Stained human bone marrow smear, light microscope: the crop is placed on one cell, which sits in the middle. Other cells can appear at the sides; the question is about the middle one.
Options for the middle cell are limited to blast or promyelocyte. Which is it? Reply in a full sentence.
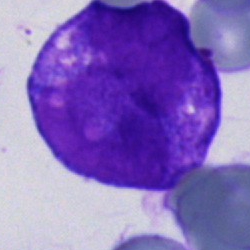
The cell at the heart of this crop is a blast.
